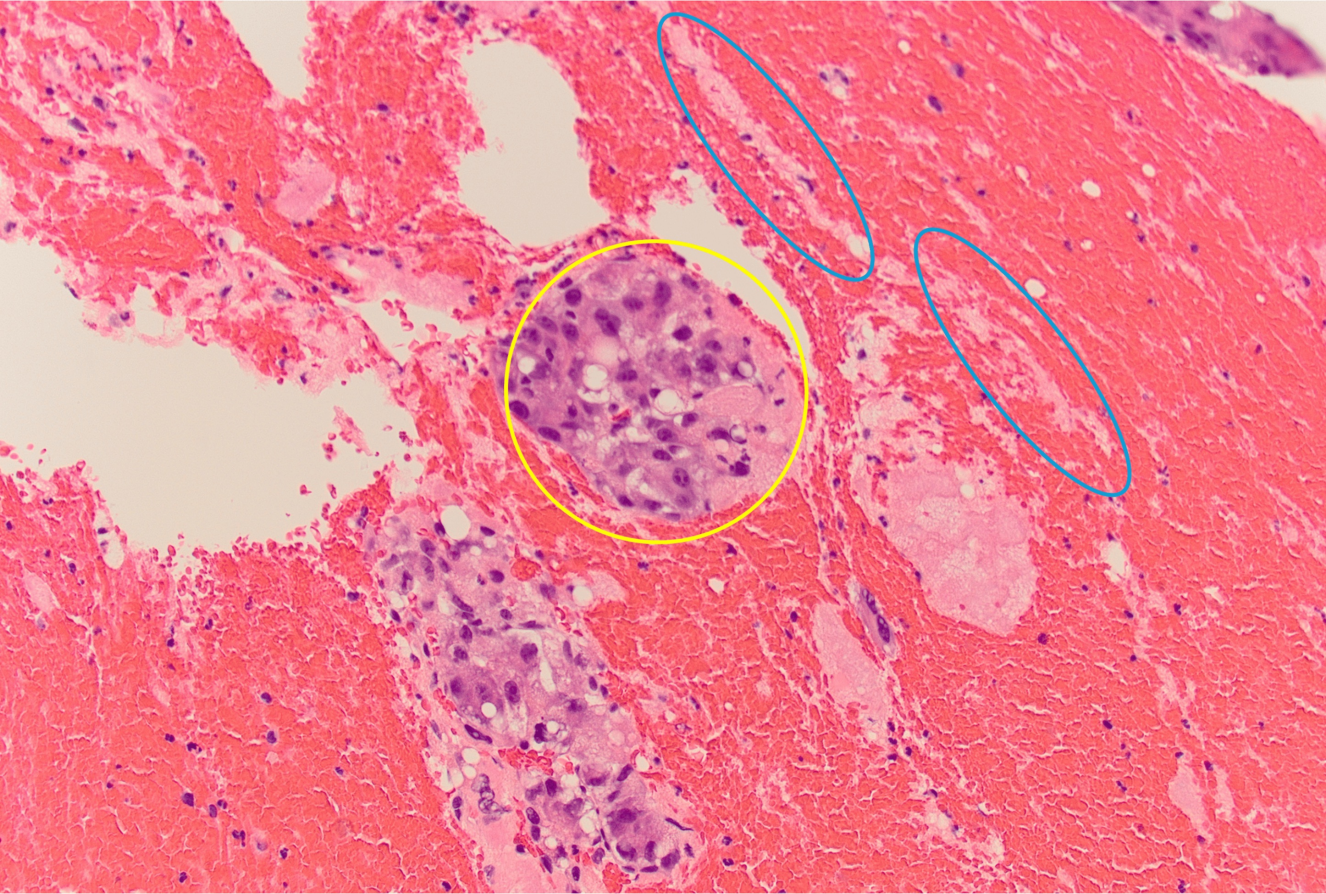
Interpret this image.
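This is a thrombus made mostly of densely packed red blood cells. The tumour cells are large and polygonal, with enlarged, irregular, darkly stained nuclei and pale purple cytoplasm containing many clear vacuoles. Elsewhere in the clot, paler pink streaks alternate with deeper red bands of red blood cells, forming parallel layers, and only scattered small dark nuclei lie among them.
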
